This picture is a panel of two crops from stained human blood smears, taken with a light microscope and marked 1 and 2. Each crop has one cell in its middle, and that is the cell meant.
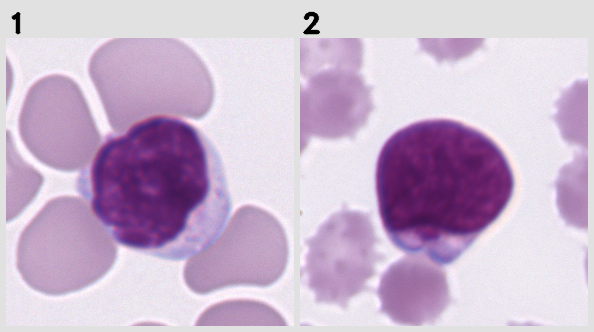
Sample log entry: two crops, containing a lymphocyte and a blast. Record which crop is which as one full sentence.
Crop 1 is designated a lymphocyte, and crop 2 is designated a blast.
